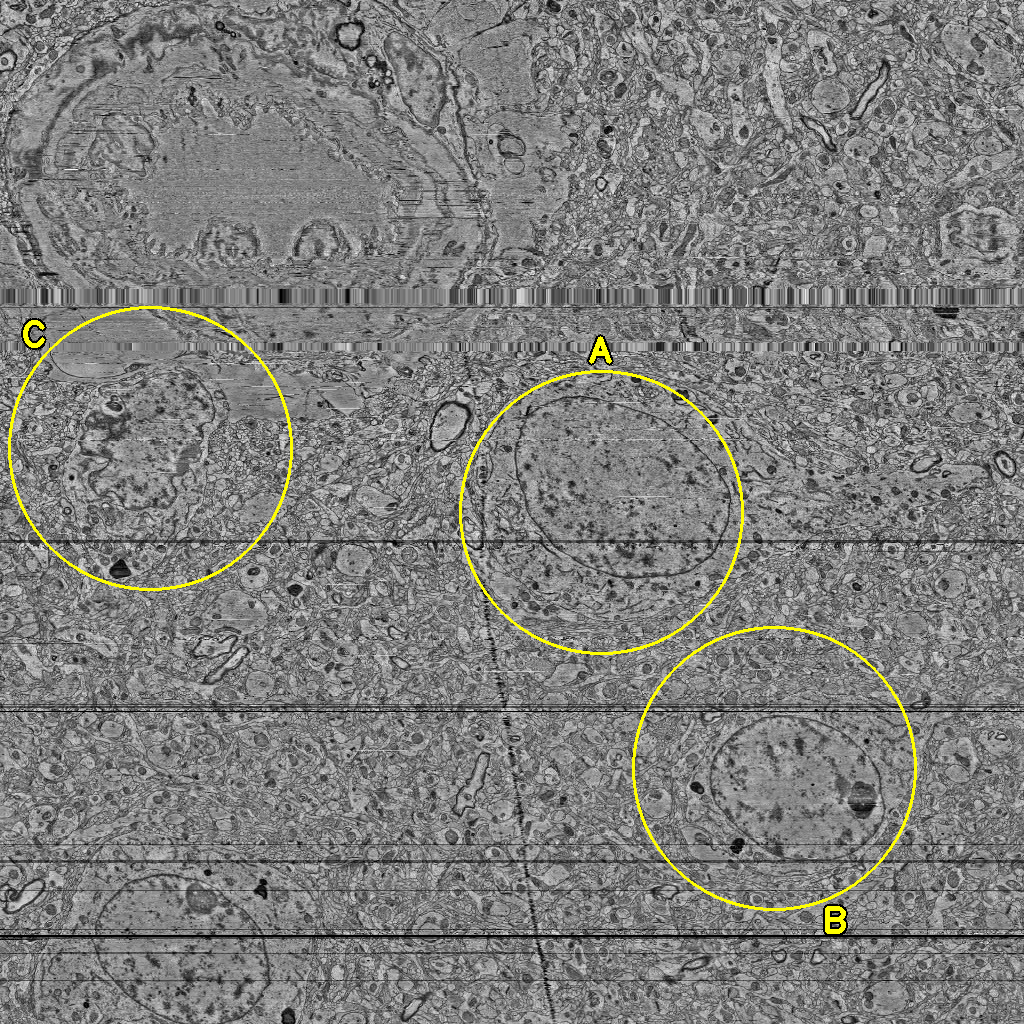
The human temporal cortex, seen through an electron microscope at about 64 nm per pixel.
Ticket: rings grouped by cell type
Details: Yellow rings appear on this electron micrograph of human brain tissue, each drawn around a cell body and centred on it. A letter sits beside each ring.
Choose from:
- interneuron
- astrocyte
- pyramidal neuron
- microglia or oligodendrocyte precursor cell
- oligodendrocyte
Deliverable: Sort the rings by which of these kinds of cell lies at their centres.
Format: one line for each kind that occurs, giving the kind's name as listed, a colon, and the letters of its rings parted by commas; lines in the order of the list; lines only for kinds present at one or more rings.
interneuron: C
pyramidal neuron: A, B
